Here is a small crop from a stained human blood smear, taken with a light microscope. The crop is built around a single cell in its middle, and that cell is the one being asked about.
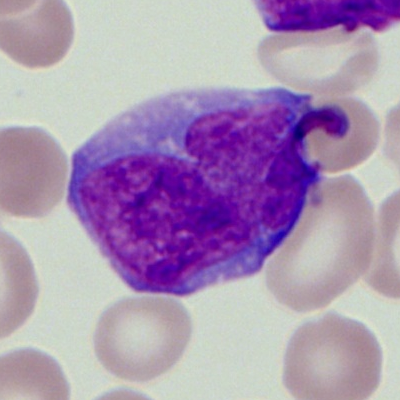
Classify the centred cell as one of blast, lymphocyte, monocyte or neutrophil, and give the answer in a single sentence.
The cell centered in this field of view is a blast.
